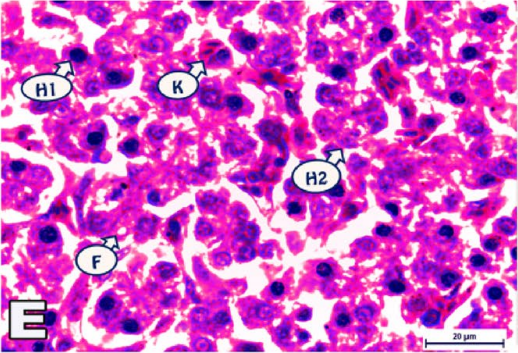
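Liver parenchyma at high magnification with hepatocytes, von Kupffer cells, fat droplets and widened sinusoids. Hepatocytes are polygonal with deep pink cytoplasm and round, dark purple nuclei, some with a visible nucleolus. Clear spaces separate the cells, so the cords appear loosened. Elongated cells in the sinusoids hold red-stained material.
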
